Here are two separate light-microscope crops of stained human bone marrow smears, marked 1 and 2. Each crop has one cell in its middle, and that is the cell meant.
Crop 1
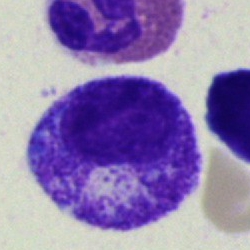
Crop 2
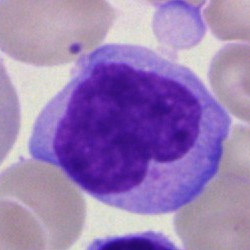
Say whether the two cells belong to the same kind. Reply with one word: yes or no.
no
